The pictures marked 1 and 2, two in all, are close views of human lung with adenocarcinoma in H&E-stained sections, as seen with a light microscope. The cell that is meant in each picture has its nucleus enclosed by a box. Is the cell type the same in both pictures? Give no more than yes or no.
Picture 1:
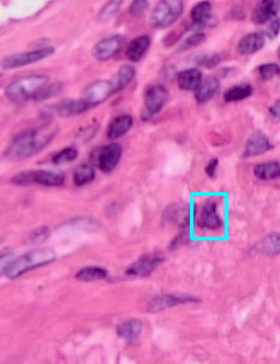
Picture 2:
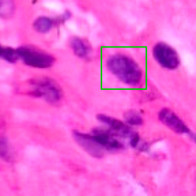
yes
